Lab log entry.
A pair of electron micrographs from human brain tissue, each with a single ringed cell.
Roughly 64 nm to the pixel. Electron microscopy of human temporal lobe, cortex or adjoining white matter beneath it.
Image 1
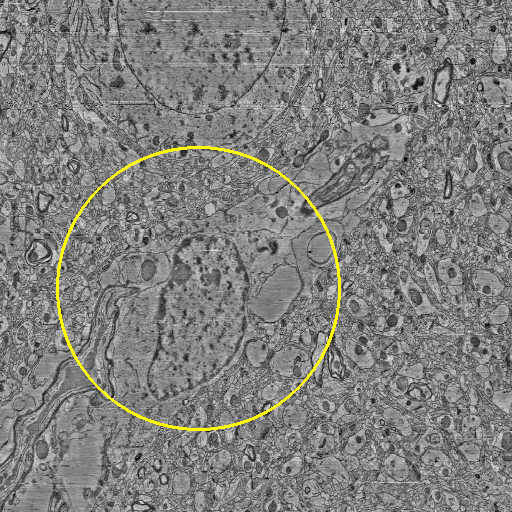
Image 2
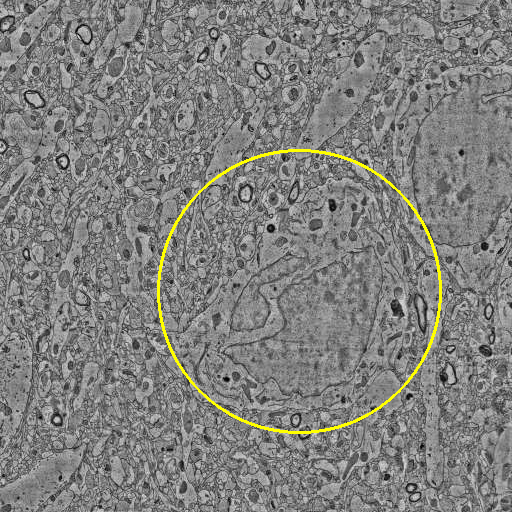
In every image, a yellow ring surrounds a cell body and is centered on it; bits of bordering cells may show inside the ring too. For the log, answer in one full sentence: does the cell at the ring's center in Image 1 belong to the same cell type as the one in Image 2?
No, the cells at the ring centers in Image 1 and Image 2 are of separate types.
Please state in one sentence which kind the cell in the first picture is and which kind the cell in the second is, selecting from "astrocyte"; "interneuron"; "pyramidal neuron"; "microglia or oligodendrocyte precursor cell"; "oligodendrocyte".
The first ringed cell is a microglial cell or oligodendrocyte precursor cell, the second ringed cell an interneuron.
